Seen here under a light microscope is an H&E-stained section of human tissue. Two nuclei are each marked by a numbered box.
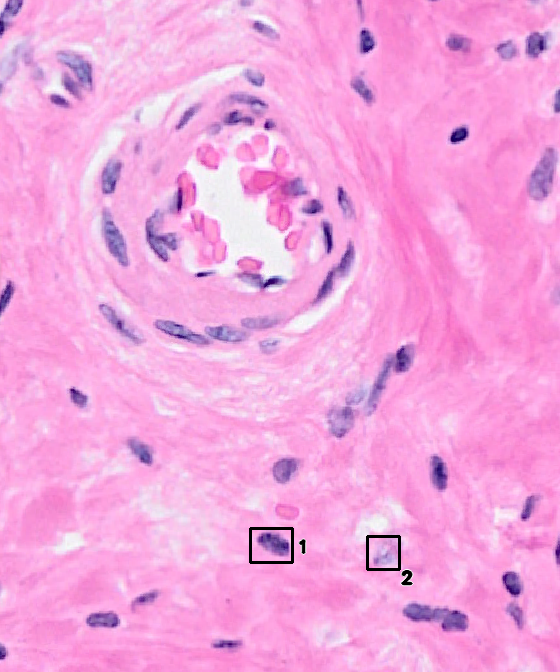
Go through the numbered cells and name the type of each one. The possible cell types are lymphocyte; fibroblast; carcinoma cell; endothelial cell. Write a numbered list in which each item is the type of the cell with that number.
1. lymphocyte
2. fibroblast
